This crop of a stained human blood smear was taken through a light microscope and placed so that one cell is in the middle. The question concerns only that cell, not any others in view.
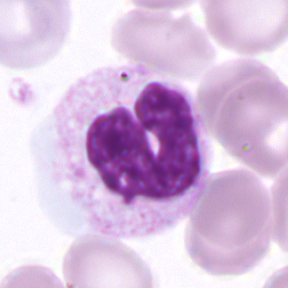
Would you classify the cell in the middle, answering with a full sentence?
The cell under consideration, at the middle of the crop, is a band neutrophil.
